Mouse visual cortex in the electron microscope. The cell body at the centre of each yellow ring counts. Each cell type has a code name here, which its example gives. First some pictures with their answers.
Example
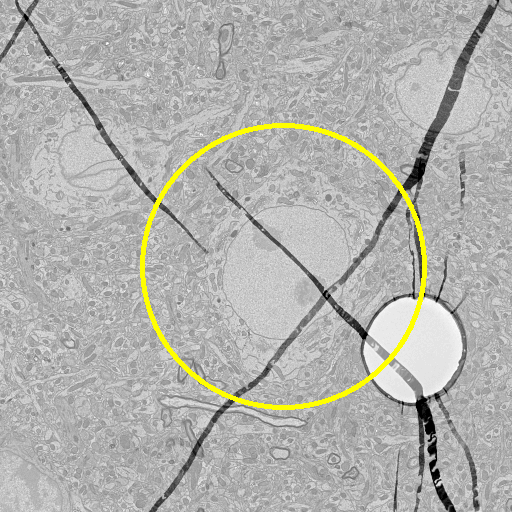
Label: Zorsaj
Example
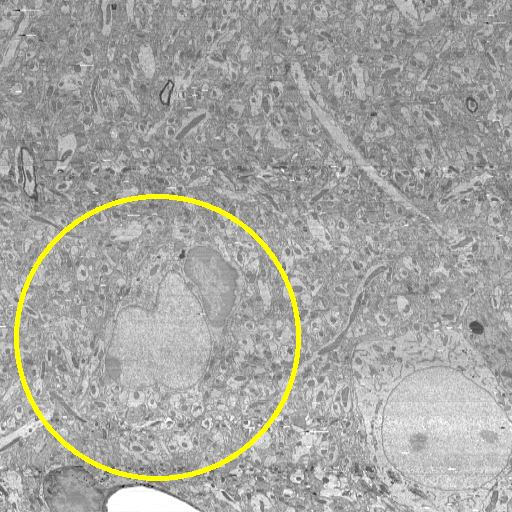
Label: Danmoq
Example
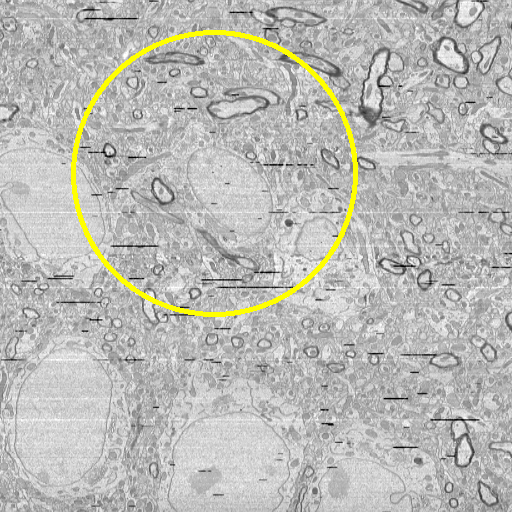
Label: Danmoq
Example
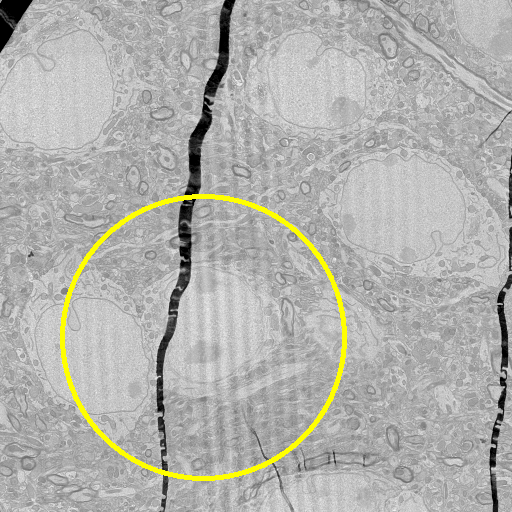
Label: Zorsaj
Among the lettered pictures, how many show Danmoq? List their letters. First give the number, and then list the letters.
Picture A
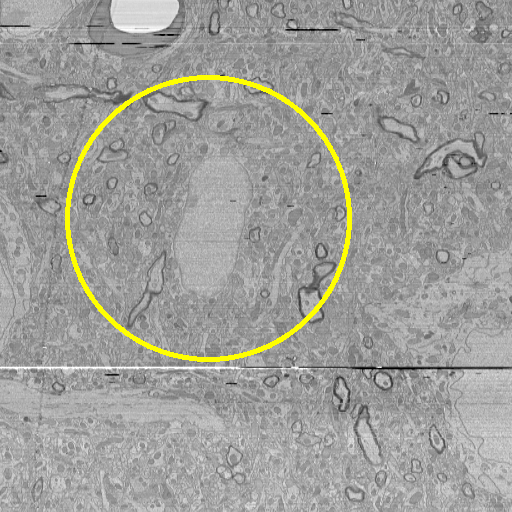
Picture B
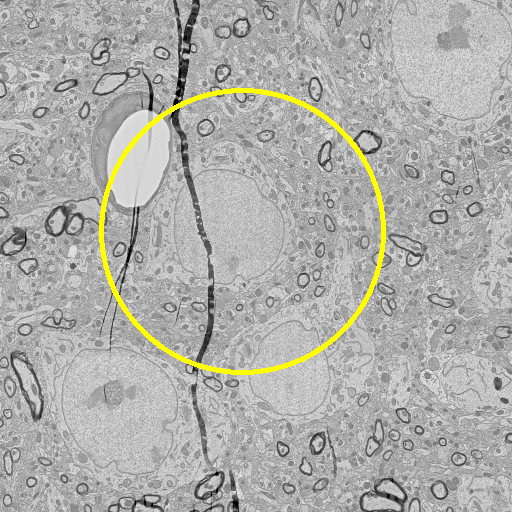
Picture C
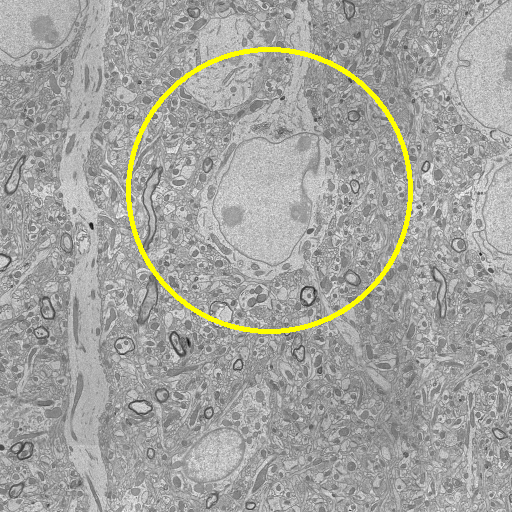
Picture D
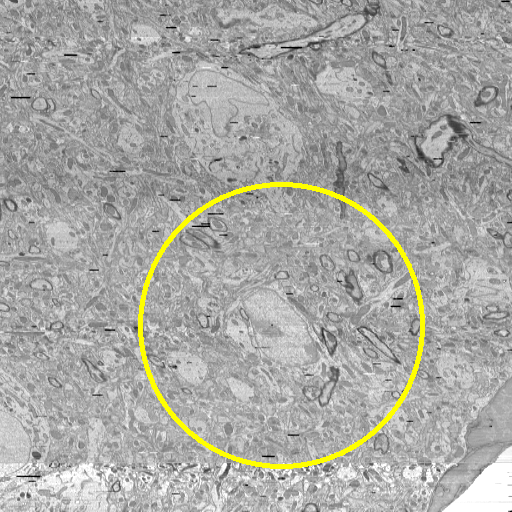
2, namely A, D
